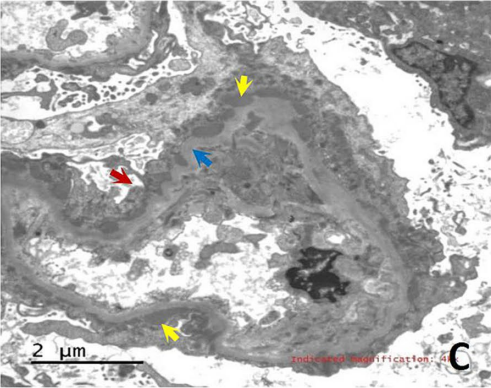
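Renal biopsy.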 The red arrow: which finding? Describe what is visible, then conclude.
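Fusion of podocyte foot processes. The epithelial cytoplasm over the basement membrane forms a continuous layer without separate foot processes.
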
